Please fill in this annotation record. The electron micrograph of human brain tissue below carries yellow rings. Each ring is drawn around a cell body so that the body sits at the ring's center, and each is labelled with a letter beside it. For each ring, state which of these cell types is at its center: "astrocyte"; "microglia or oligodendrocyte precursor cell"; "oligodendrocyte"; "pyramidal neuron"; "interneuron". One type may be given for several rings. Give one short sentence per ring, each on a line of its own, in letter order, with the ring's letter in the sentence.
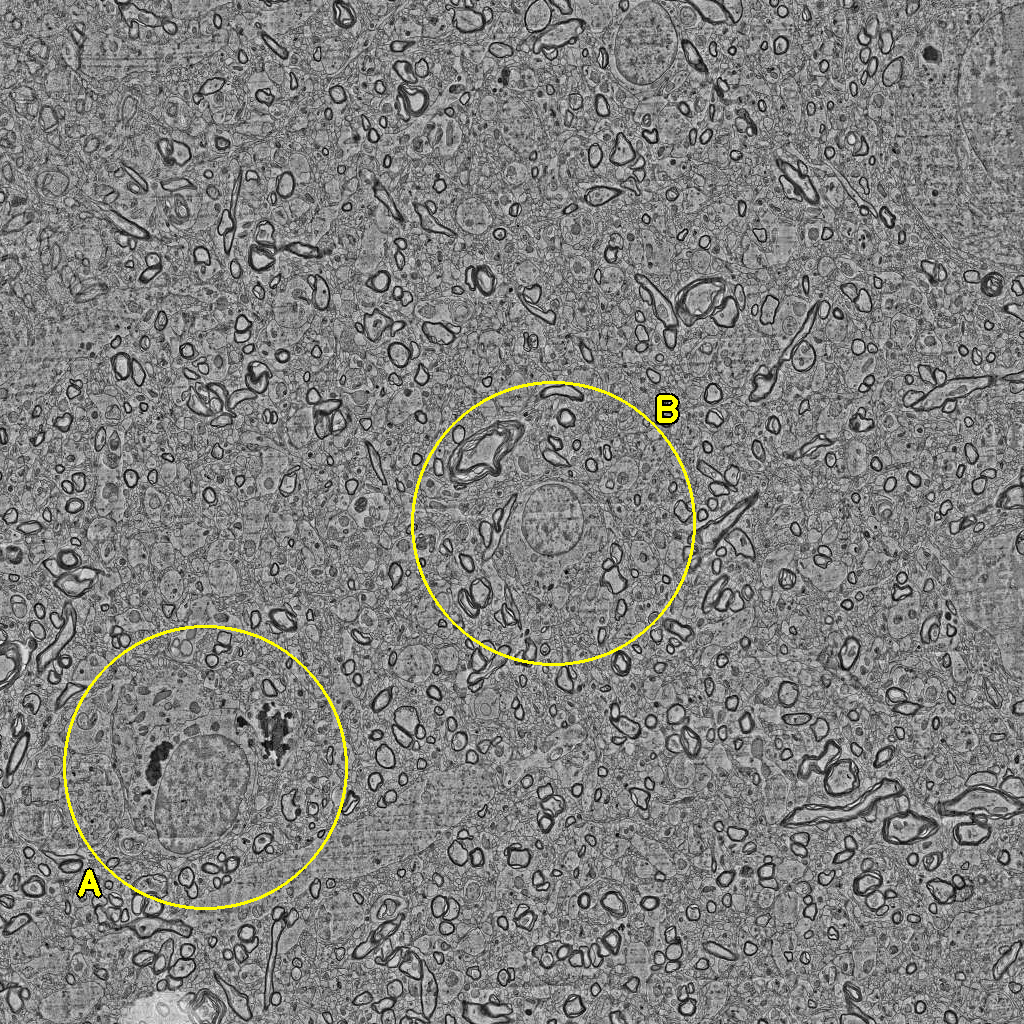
Ring A is drawn around an oligodendrocyte.
Ring B is drawn around a microglial cell or oligodendrocyte precursor cell.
